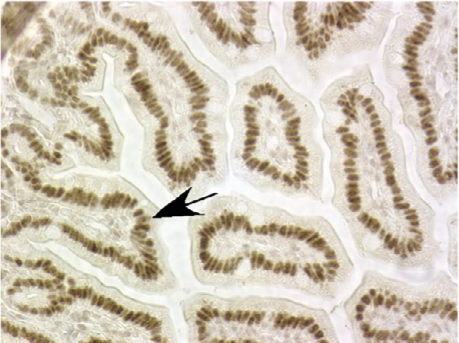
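Cross-sectioned intestinal villi are lined by a single layer of tall columnar epithelial cells with a pale, lightly stained core beneath. The epithelial nuclei are elongated, closely packed in a row at the base of the cells and stained dark brown, while the apical cytoplasm and the core stay pale.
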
